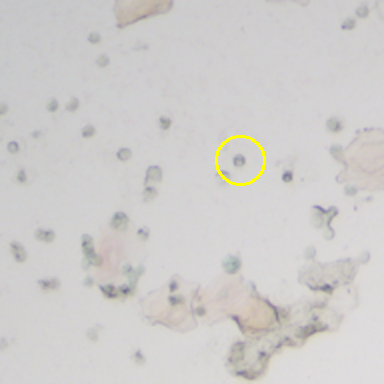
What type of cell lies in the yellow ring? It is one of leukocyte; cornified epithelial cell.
The ringed cell is a leukocyte.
